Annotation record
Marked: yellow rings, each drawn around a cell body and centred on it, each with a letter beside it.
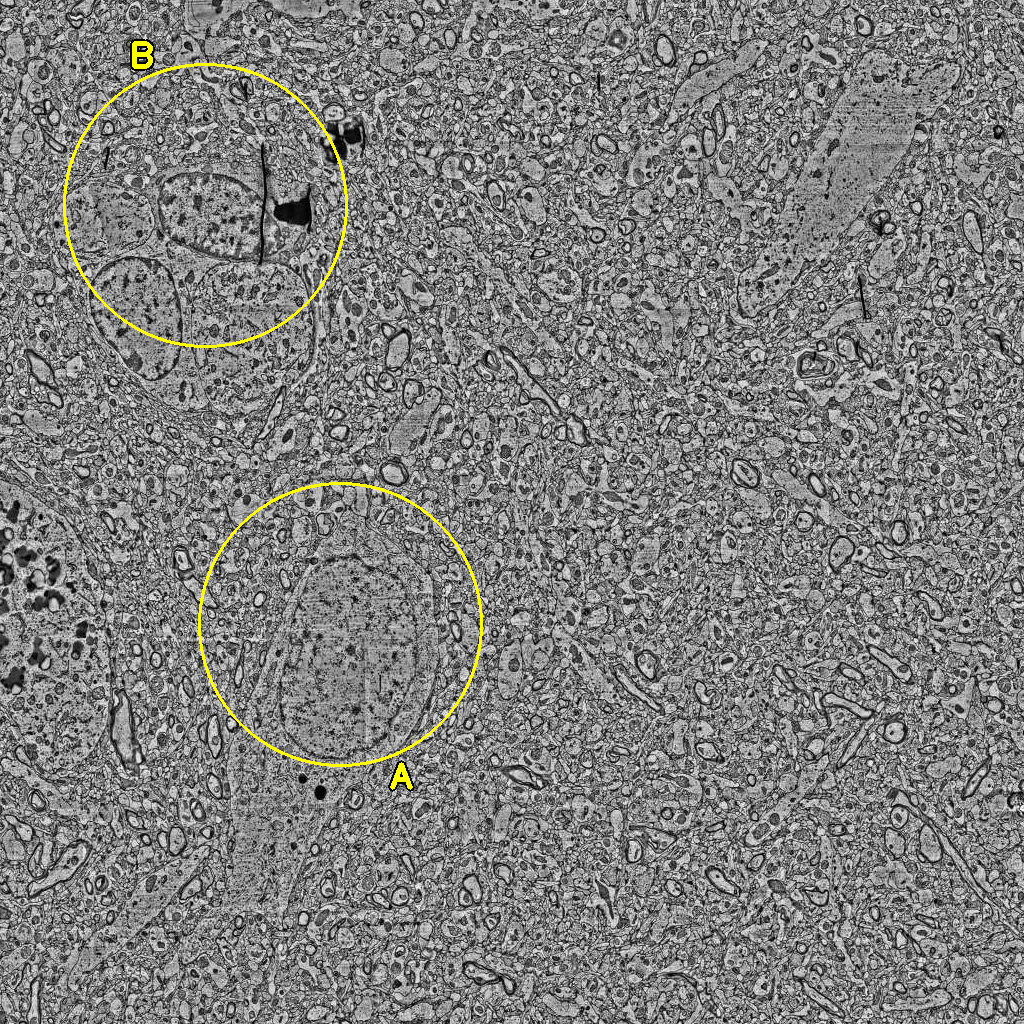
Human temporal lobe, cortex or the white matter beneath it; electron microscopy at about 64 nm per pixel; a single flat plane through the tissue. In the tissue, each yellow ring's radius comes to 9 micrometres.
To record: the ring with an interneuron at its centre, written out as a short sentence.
The ring centred on it is ring A.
